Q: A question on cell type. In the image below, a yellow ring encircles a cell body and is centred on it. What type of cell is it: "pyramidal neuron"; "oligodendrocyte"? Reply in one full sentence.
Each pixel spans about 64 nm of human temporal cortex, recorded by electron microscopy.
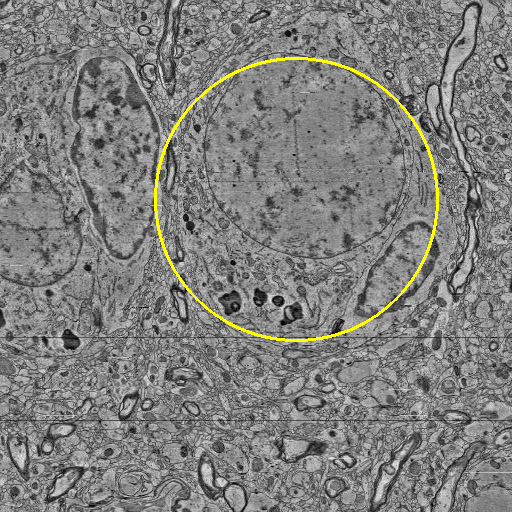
It is a pyramidal neuron whose cell body sits at the centre of the yellow ring in the image.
